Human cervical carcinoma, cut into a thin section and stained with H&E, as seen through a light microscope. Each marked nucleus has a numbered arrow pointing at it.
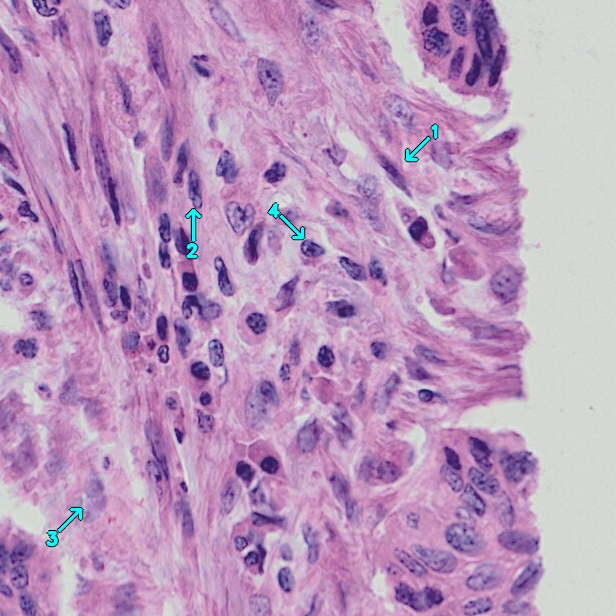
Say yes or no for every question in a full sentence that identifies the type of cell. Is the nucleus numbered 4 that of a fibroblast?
No, the cell given number 4 is a lymphocyte, as opposed to a fibroblast.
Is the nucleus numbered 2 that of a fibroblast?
No, cell 2 isn't a fibroblast; it's a lymphocyte.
